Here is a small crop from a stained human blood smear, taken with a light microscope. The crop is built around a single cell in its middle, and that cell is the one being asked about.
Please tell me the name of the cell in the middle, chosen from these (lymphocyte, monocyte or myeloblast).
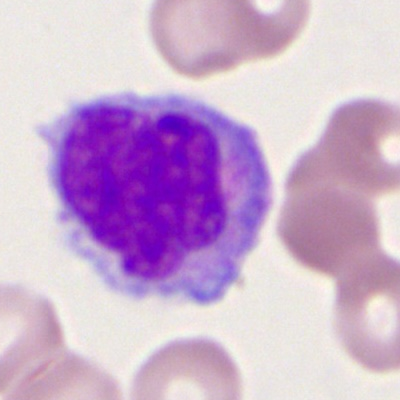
monocyte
